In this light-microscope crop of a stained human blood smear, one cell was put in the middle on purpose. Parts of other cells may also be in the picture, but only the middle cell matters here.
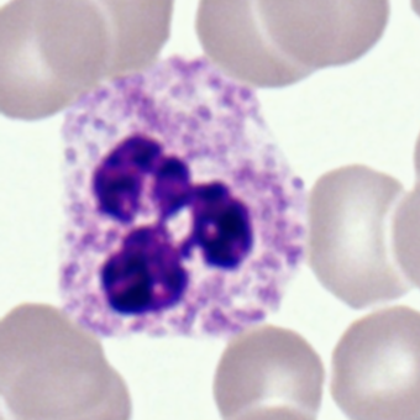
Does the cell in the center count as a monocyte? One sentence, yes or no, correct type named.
No, the central cell is not to be called a monocyte, being a segmented neutrophil.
